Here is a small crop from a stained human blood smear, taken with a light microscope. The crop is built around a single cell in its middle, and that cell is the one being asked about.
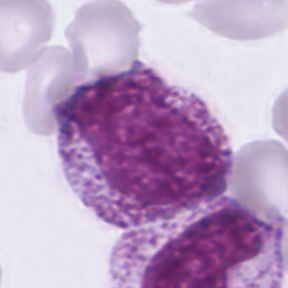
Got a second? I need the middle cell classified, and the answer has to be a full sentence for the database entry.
In the crop, the cell of interest at the centre is a myelocyte.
